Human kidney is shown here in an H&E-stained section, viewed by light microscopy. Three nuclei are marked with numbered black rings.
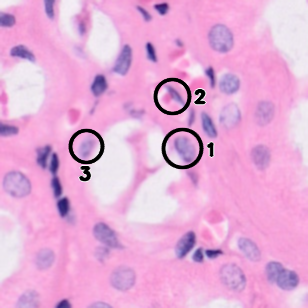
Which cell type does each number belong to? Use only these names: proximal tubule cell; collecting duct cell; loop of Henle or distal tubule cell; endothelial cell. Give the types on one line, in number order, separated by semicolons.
loop of Henle or distal tubule cell; endothelial cell; loop of Henle or distal tubule cell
